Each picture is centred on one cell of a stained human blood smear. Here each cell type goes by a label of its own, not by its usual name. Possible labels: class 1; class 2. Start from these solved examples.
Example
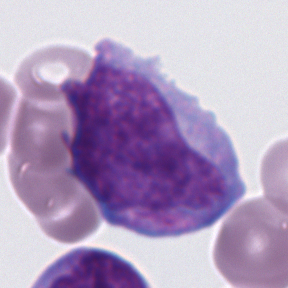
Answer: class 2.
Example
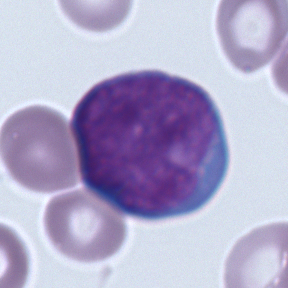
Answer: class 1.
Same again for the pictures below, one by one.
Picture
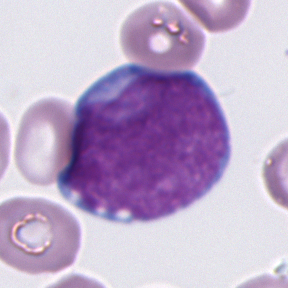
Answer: class 1.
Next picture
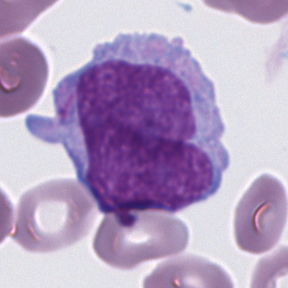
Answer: class 2.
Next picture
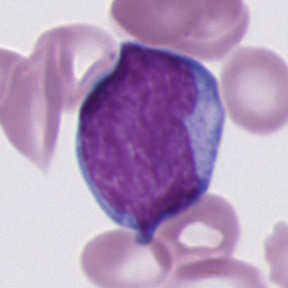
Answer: class 1.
